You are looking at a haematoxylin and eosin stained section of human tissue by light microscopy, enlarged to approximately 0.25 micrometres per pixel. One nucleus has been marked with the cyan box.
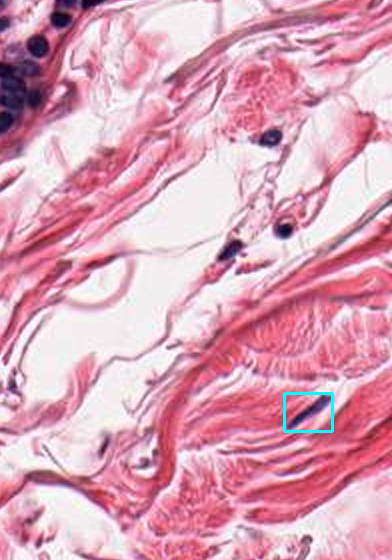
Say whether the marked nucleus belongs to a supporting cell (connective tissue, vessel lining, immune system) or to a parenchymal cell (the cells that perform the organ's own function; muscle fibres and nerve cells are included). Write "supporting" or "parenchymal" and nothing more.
supporting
